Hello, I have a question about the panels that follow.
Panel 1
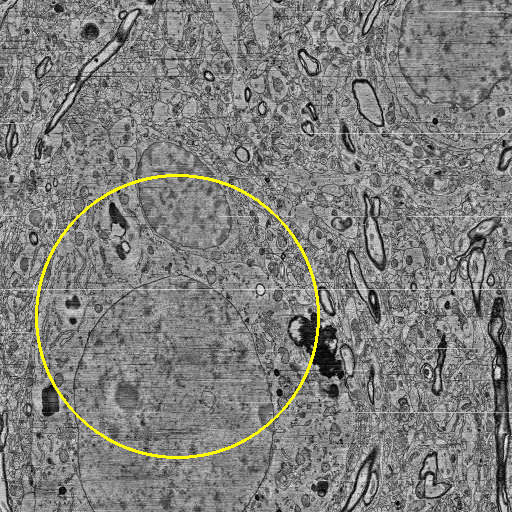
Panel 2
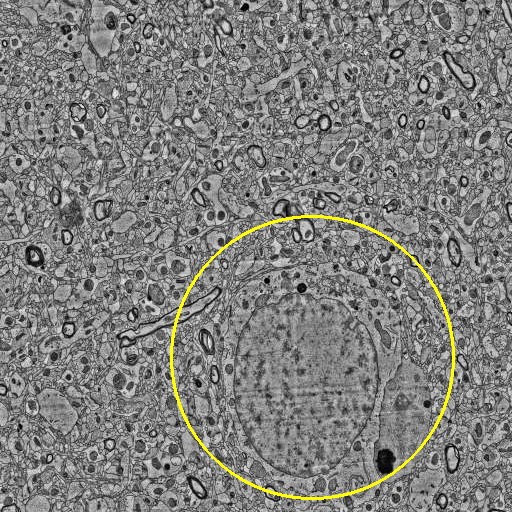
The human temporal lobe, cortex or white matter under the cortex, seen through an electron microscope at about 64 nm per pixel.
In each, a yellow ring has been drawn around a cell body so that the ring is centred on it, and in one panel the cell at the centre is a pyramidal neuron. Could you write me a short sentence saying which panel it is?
It is Panel 1.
